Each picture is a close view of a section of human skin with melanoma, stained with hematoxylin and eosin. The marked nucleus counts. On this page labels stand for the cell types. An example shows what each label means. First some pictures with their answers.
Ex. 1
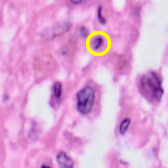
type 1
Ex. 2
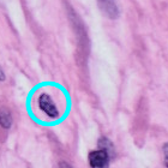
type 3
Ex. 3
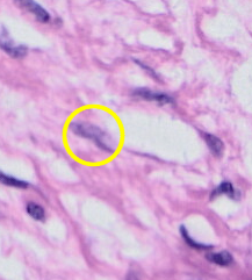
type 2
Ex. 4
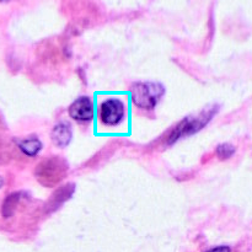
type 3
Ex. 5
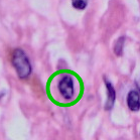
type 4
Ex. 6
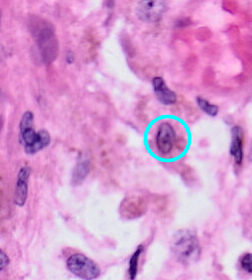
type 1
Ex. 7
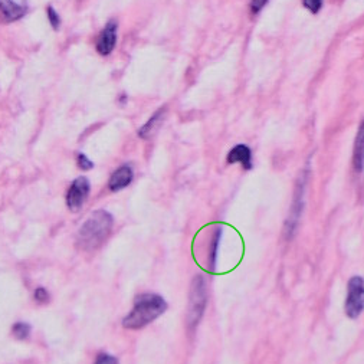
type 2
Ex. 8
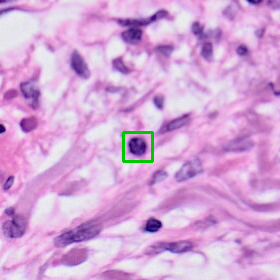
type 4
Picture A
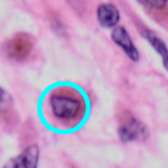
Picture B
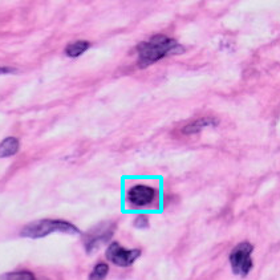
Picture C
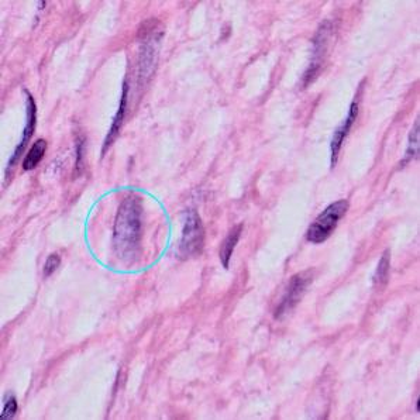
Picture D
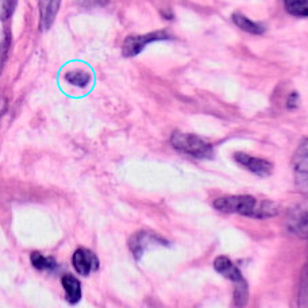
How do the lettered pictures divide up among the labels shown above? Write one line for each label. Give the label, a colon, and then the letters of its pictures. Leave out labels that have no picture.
type 1: A
type 3: D
type 2: C
type 4: B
